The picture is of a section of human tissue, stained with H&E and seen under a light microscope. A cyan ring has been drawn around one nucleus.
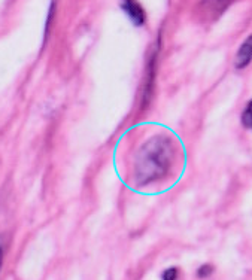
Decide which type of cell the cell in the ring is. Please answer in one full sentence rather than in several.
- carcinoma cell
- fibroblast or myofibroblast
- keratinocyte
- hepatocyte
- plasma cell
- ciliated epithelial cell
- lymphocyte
As far as its identity is concerned, the cell in the ring is a fibroblast or myofibroblast.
